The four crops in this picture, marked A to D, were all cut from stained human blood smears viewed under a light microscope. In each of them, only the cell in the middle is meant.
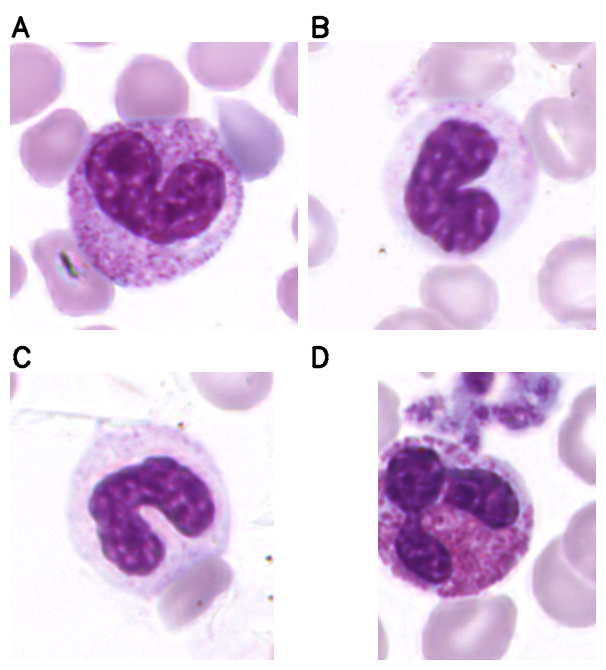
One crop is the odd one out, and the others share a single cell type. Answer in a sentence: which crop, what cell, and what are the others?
Shown in crop D is an eosinophil, in contrast to the band neutrophils of all the other crops.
